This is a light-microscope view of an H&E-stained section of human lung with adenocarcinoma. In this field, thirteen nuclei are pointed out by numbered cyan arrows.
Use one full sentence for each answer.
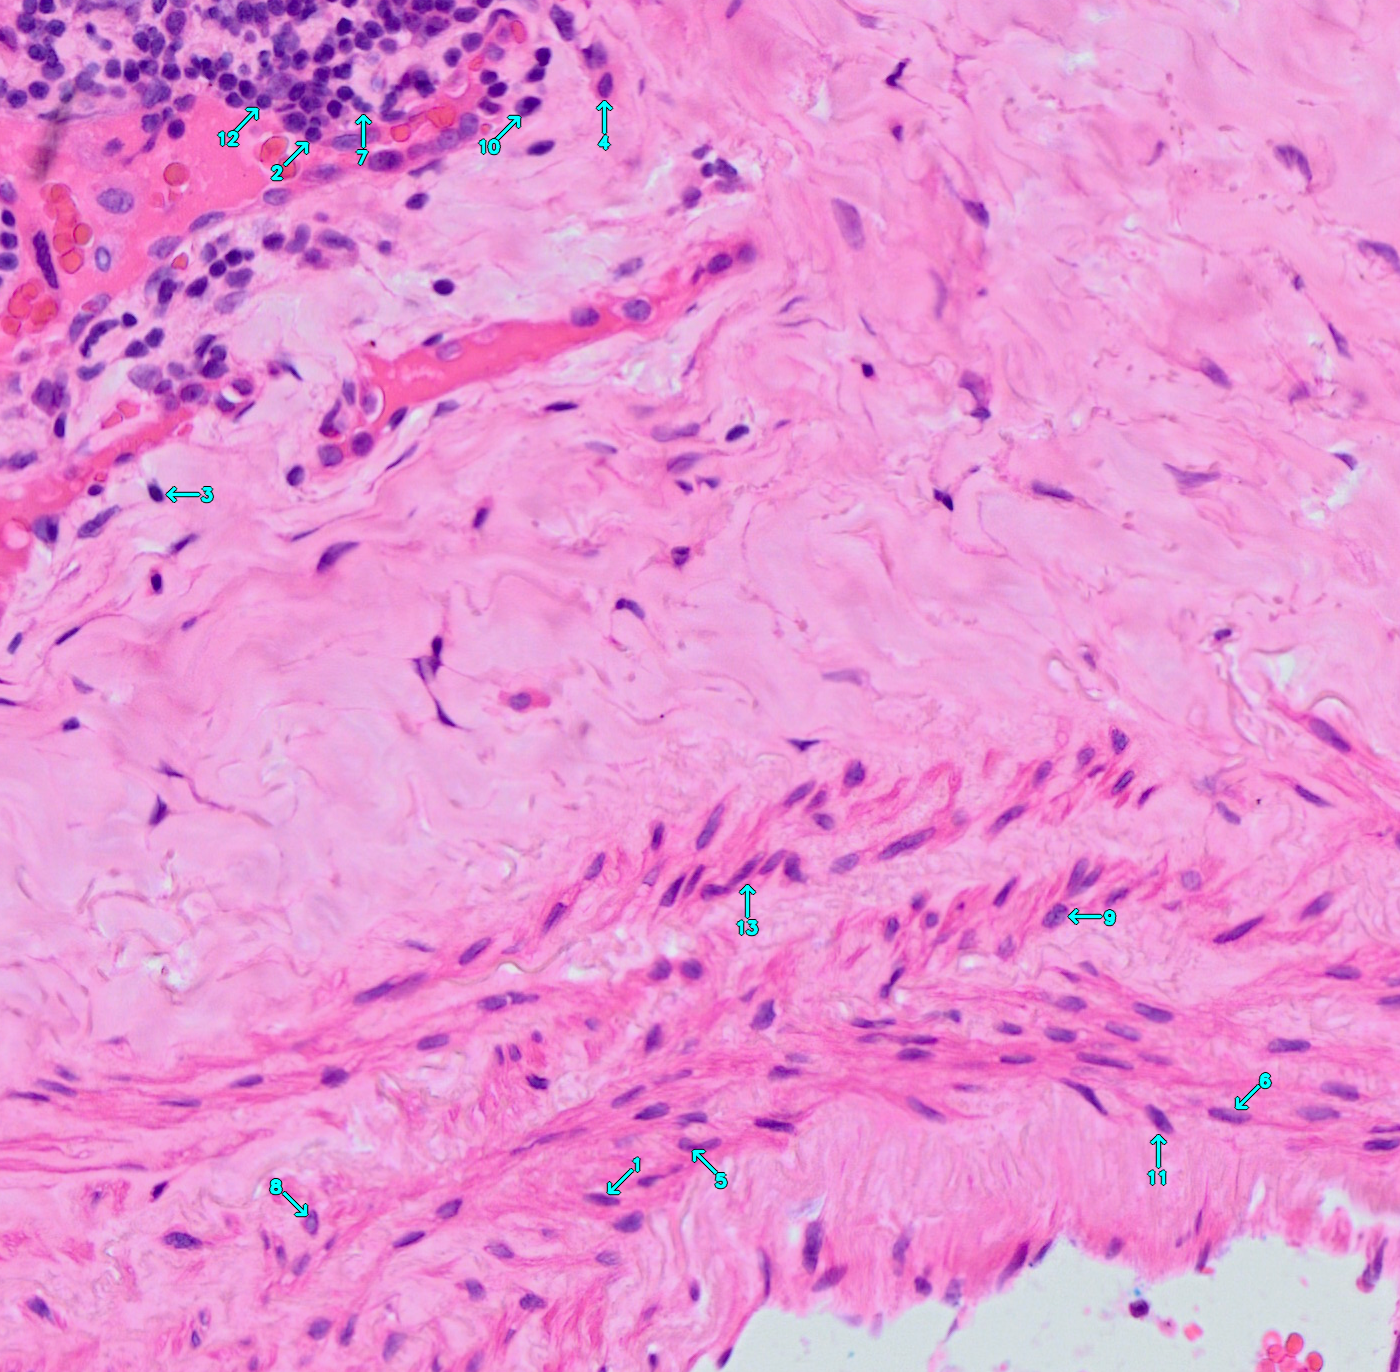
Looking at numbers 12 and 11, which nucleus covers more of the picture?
At about 2 times the area of nucleus 12, nucleus 11 is the larger of the two.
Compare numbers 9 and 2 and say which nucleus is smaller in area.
Nucleus 2 is the smaller one; nucleus 9 covers about 2 times its area.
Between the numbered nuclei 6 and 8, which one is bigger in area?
Nucleus 6 is larger, with an area about 2 times that of nucleus 8.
